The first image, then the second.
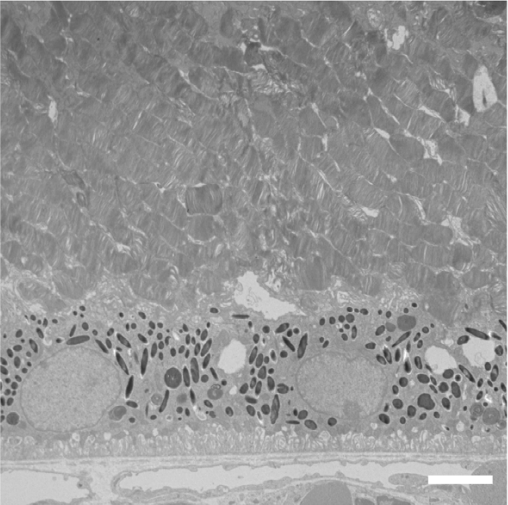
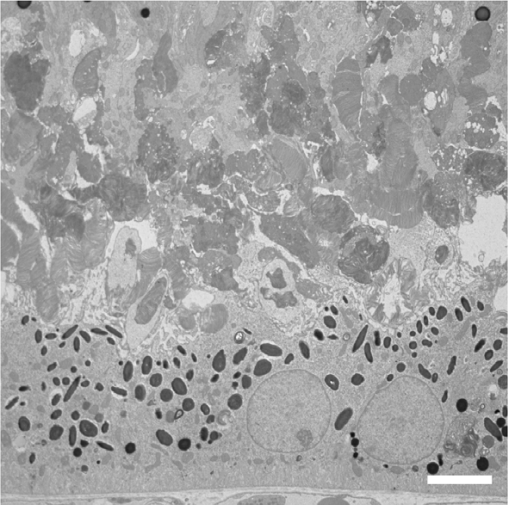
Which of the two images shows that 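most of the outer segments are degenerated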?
The second image.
